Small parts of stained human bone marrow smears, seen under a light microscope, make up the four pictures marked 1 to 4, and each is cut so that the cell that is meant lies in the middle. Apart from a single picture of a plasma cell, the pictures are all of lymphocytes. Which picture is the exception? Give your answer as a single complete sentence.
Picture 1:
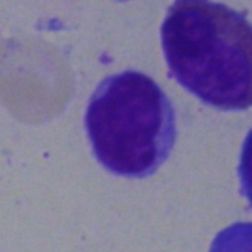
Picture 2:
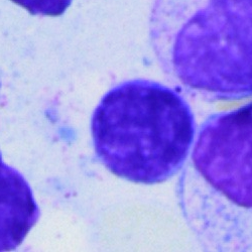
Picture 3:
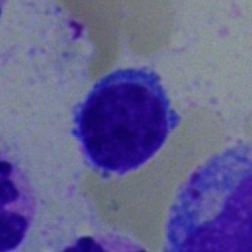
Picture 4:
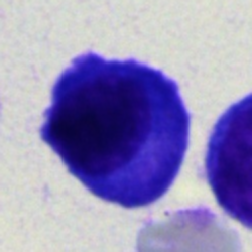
Picture 4 is the one that shows the plasma cell.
